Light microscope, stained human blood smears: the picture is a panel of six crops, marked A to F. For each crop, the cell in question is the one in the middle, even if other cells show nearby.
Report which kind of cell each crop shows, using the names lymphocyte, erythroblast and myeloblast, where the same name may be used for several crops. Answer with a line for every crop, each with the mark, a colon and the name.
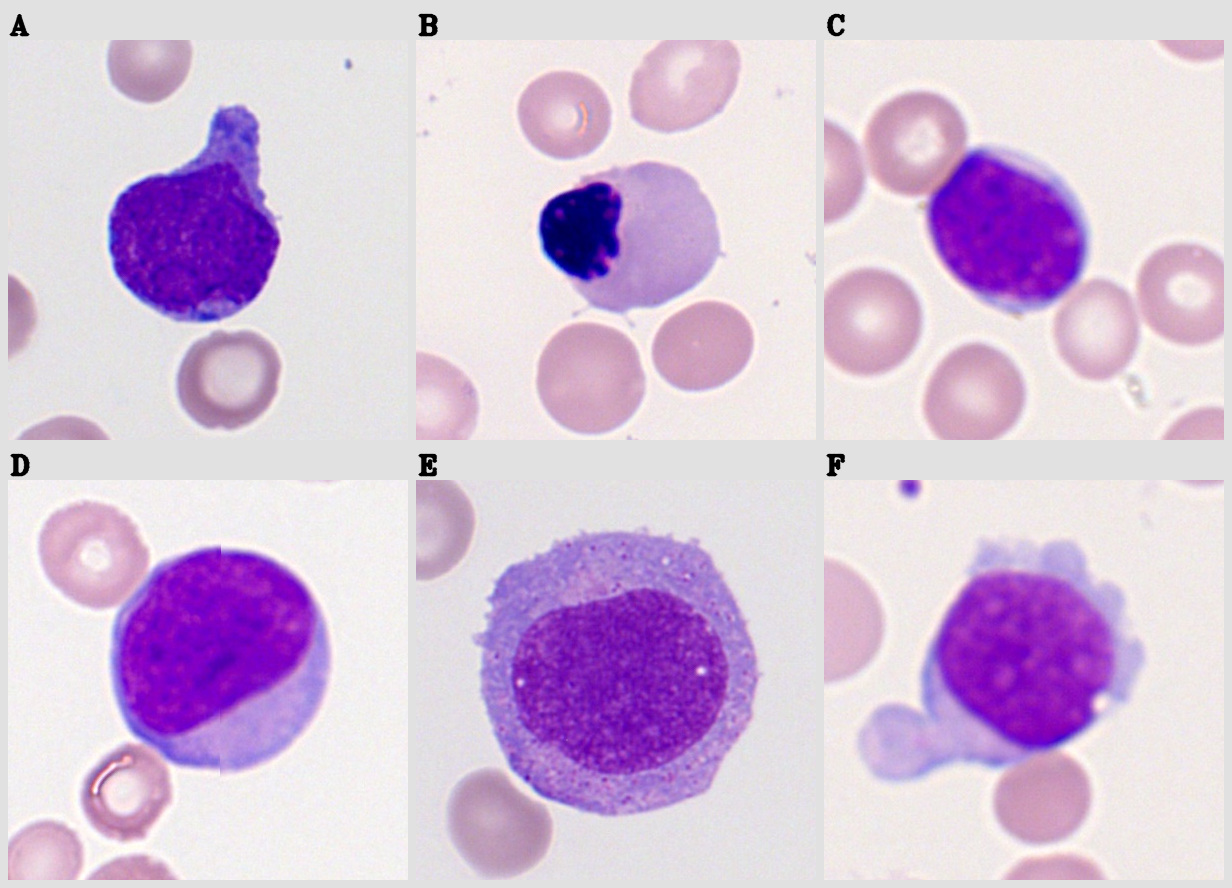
A: myeloblast
B: erythroblast
C: myeloblast
D: myeloblast
E: myeloblast
F: myeloblast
